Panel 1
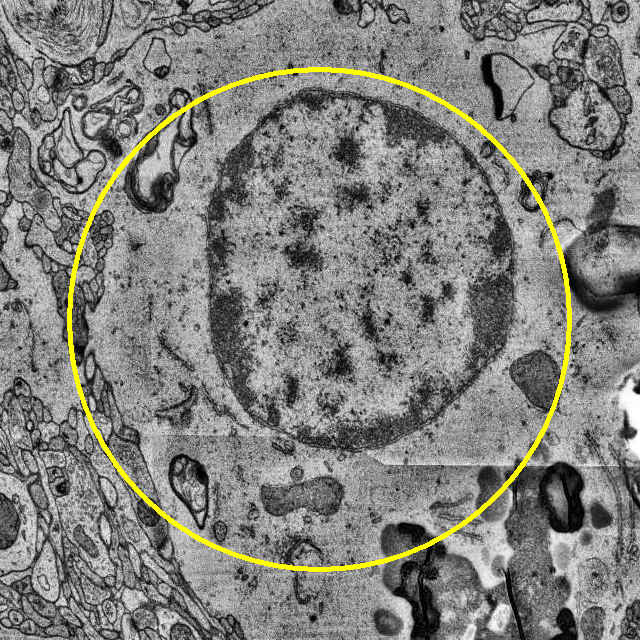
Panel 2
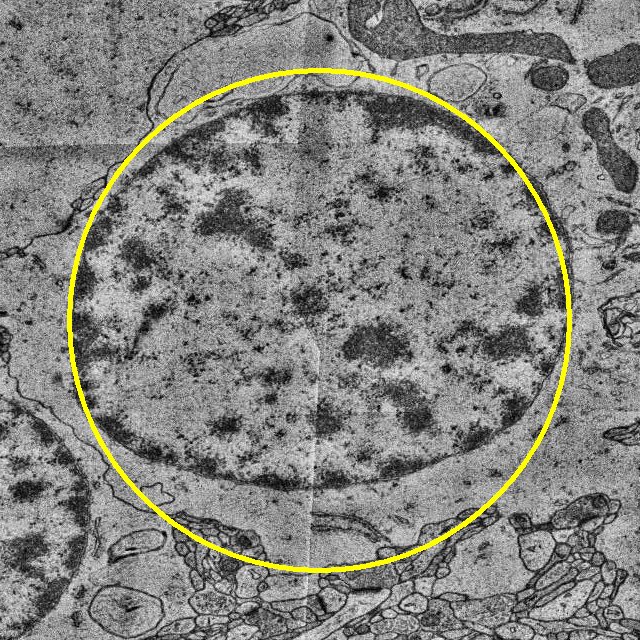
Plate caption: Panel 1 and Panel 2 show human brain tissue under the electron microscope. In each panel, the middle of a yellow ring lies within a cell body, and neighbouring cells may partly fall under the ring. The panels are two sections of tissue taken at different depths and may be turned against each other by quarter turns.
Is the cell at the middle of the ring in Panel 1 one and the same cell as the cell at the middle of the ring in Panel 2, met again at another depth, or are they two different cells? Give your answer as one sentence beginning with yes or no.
Yes, what the two rings mark is one cell.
